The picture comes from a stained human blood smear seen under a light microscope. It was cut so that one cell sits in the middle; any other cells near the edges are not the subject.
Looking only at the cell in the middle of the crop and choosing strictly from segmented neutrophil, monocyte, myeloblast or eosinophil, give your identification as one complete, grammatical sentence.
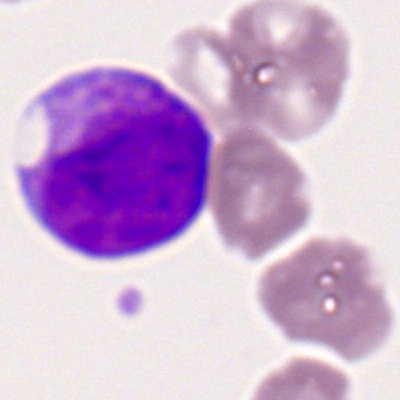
The cell featured at the centre of this crop is a myeloblast.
